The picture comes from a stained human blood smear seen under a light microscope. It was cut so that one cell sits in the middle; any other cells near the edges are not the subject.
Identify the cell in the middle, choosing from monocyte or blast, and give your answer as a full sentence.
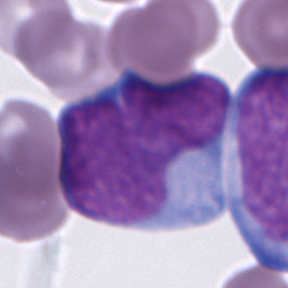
In the center of this field lies a blast.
